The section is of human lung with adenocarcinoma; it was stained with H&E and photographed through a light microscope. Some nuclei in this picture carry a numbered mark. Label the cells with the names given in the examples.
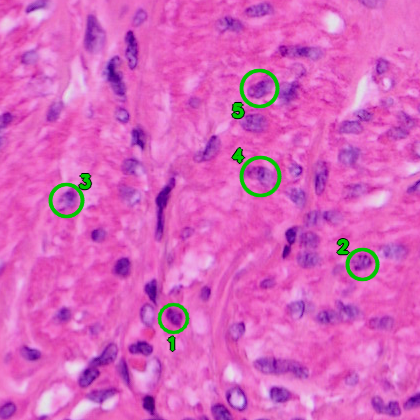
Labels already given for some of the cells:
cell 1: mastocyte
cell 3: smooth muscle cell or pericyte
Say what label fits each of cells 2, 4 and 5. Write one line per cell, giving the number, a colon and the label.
2: mastocyte
4: smooth muscle cell or pericyte
5: smooth muscle cell or pericyte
